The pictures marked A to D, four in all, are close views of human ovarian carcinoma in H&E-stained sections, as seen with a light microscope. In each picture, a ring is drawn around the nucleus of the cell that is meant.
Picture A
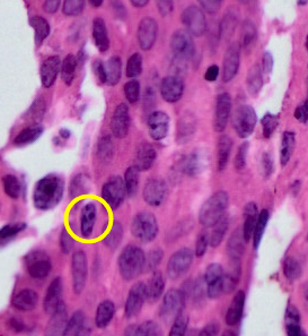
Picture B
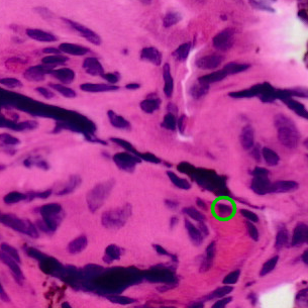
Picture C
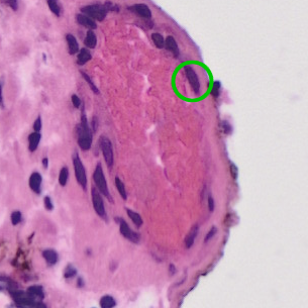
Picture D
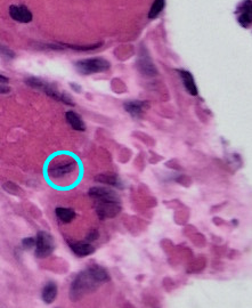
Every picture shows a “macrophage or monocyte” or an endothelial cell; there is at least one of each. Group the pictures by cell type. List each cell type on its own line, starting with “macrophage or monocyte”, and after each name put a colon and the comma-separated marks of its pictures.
macrophage or monocyte: A
endothelial cell: B, C, D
